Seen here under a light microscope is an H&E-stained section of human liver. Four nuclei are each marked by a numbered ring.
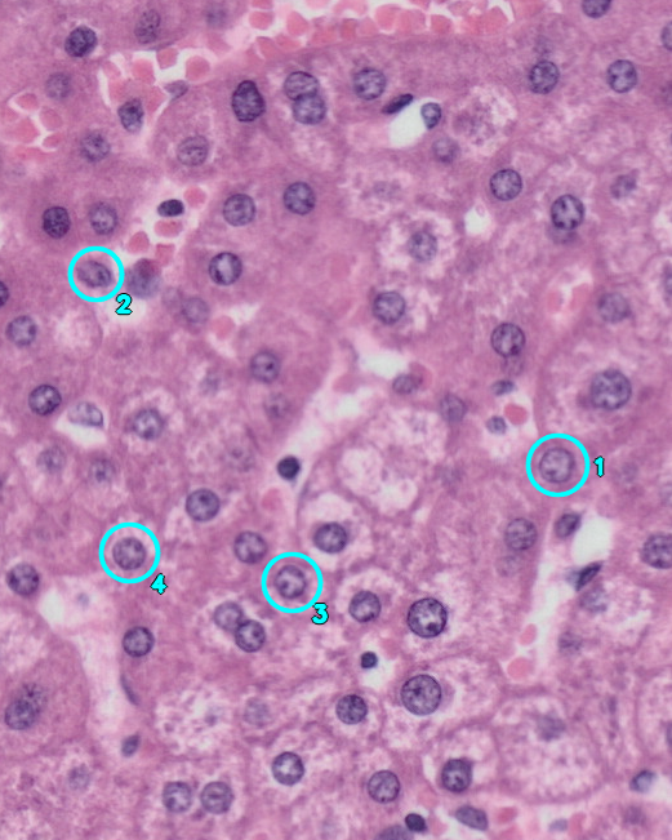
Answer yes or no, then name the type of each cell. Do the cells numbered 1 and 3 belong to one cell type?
Yes, cell number 1 and cell number 3 are both hepatocytes.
